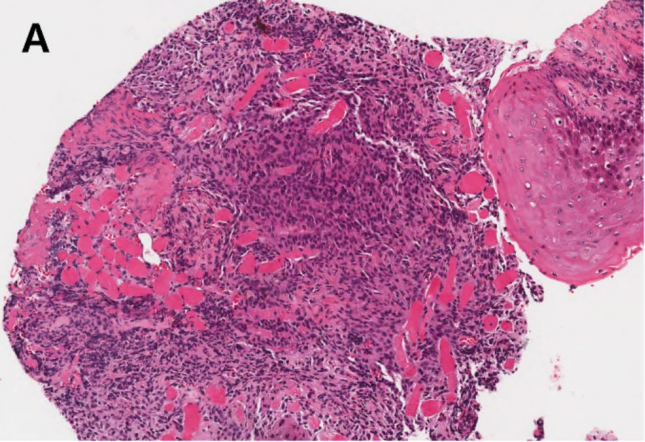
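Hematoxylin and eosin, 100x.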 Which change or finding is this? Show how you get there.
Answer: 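A dense, solid expanse of closely packed cells with dark nuclei fills the centre. No glandular or clearly organised pattern is seen in the cellular area. That points to this answer: sheet-like growth.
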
